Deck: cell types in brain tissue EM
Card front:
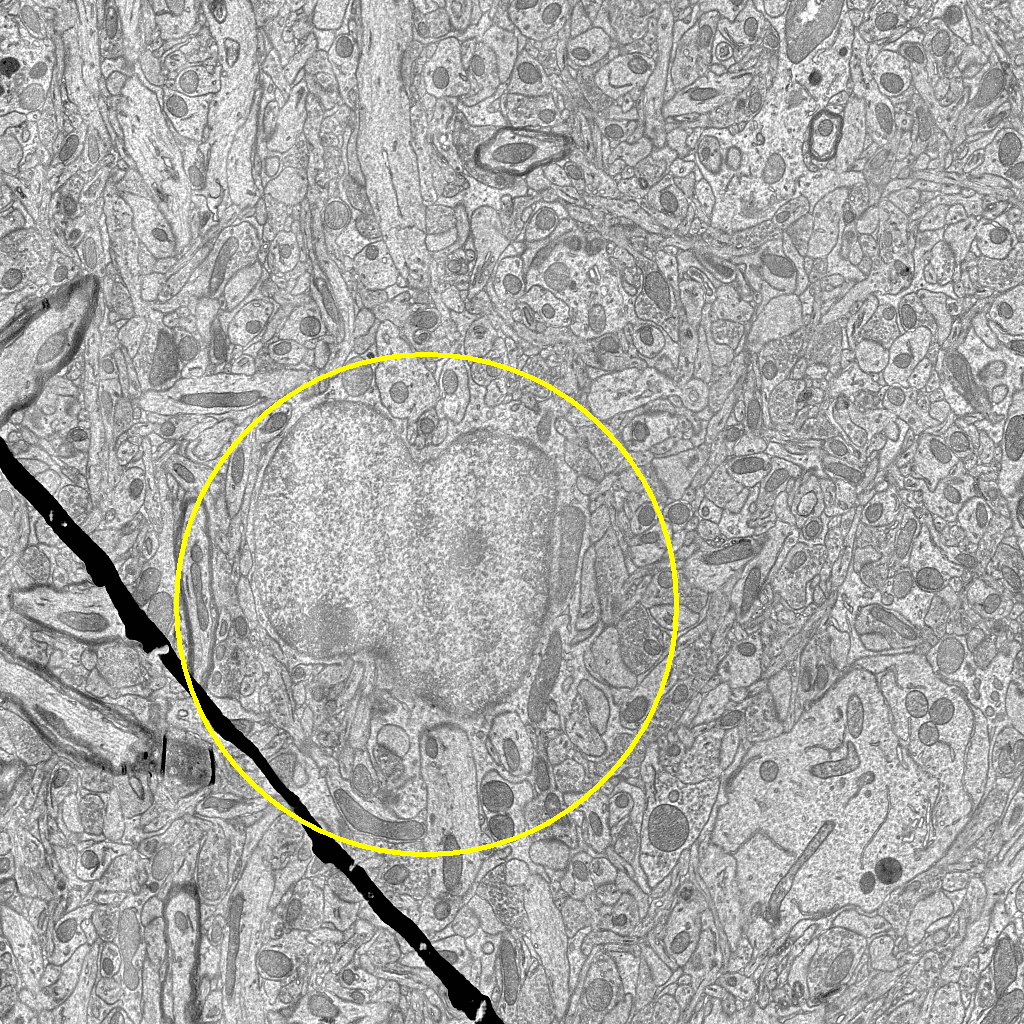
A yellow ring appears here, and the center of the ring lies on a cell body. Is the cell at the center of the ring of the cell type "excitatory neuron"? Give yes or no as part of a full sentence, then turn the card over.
No, on this card the center of the yellow ring lies on a cell of a different type.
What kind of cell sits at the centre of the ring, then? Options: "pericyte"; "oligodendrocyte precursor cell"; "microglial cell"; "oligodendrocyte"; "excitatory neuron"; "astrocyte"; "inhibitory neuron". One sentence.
Instead, the cell at the centre of the ring is an astrocyte.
